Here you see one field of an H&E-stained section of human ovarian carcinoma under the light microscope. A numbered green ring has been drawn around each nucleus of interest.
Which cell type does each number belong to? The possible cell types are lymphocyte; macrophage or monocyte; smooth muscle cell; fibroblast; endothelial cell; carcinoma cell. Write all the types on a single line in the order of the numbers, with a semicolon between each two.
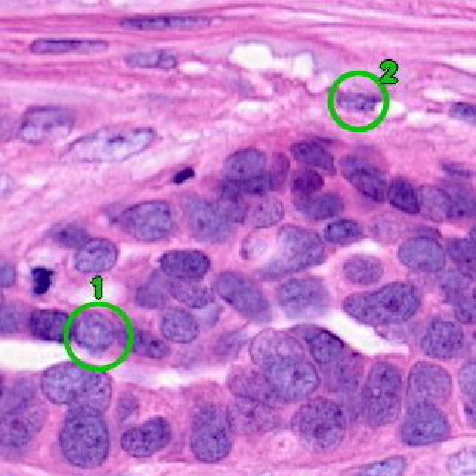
carcinoma cell; fibroblast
